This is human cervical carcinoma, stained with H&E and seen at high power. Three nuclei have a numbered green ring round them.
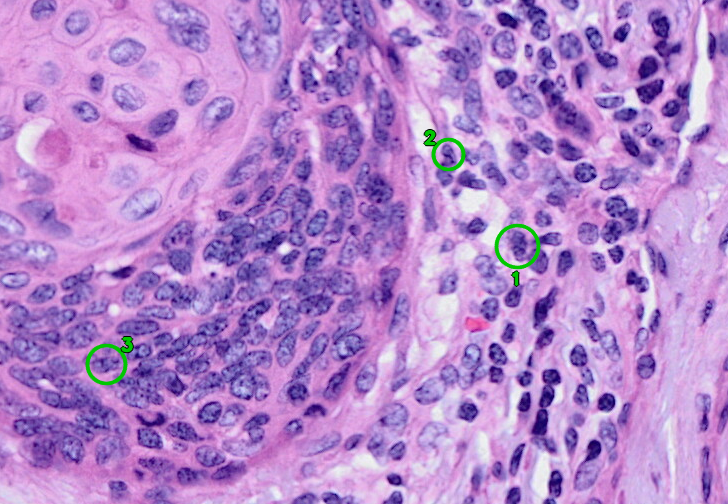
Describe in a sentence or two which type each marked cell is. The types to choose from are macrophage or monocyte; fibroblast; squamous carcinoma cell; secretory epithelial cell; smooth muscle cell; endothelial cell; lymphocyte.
Cell 1 is a lymphocyte, cell 2 is a lymphocyte and cell 3 is a squamous carcinoma cell.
